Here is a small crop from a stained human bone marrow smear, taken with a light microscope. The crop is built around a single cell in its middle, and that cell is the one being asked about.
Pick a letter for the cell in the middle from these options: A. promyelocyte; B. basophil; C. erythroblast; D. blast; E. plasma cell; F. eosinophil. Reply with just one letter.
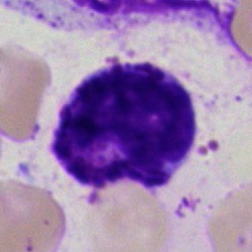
B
